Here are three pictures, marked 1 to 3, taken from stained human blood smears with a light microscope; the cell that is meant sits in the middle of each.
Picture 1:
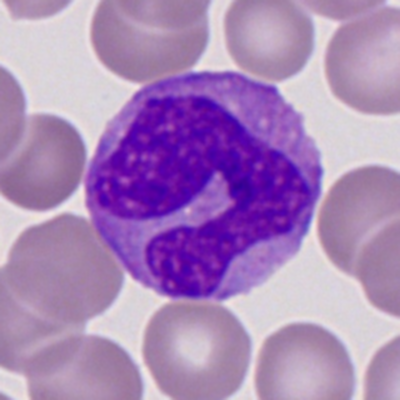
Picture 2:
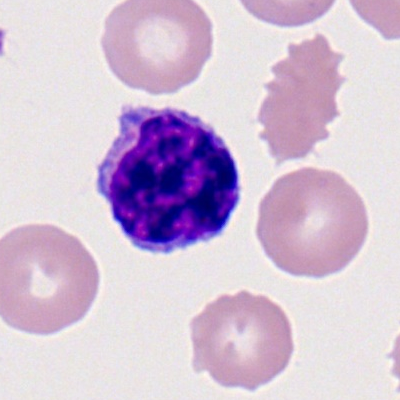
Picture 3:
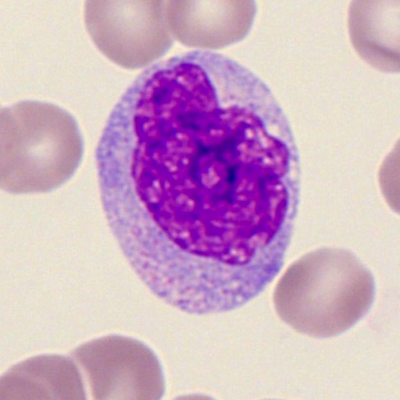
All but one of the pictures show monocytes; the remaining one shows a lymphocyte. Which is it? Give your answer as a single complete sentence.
The lymphocyte is the one in picture 2.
